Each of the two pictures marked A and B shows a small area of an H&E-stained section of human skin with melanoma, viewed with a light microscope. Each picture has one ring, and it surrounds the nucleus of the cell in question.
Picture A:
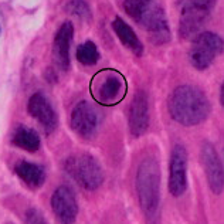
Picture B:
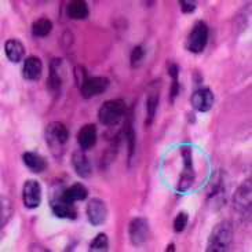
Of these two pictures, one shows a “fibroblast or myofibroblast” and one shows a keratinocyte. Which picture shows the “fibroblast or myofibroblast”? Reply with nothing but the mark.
B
